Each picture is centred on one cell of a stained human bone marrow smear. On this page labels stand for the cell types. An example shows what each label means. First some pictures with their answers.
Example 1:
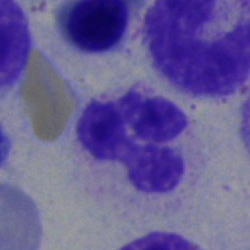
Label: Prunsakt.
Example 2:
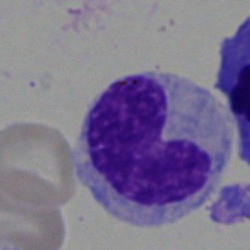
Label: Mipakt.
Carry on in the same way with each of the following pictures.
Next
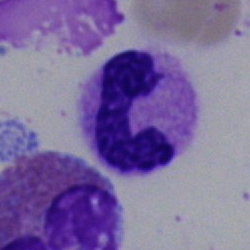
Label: Prunsakt.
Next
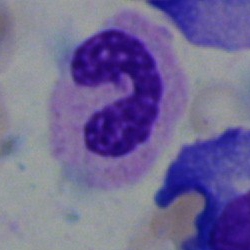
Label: Mipakt.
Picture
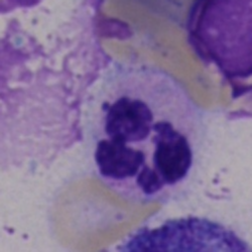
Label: Prunsakt.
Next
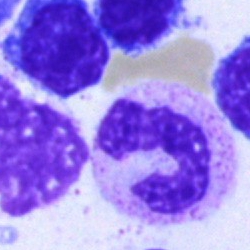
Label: Prunsakt.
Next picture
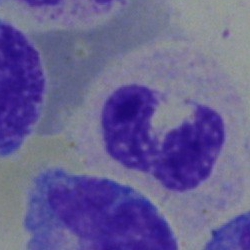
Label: Prunsakt.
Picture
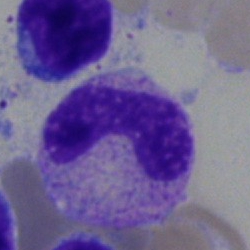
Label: Mipakt.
